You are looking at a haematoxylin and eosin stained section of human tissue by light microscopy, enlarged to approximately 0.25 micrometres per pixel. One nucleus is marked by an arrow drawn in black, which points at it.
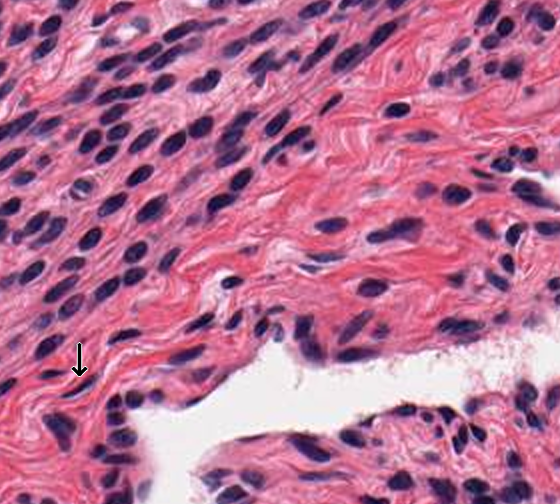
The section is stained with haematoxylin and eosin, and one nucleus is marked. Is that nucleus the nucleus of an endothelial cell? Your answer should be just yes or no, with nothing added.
no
